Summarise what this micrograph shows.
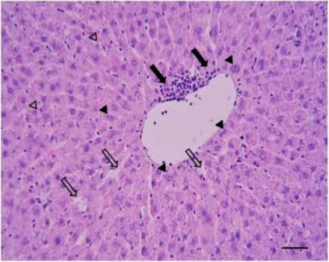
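Liver lobule around a central vein. Hepatocytes form cords radiating from the vein, with pink cytoplasm and round purple nuclei; some cells seem to carry two nuclei. Along one side of the vein lumen sits a dense cluster of small, dark, round nuclei of mononuclear cells, clearly smaller than hepatocyte nuclei. Some sinusoids between the cords are widened into pale spaces. The vein lumen is empty and its wall thin.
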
